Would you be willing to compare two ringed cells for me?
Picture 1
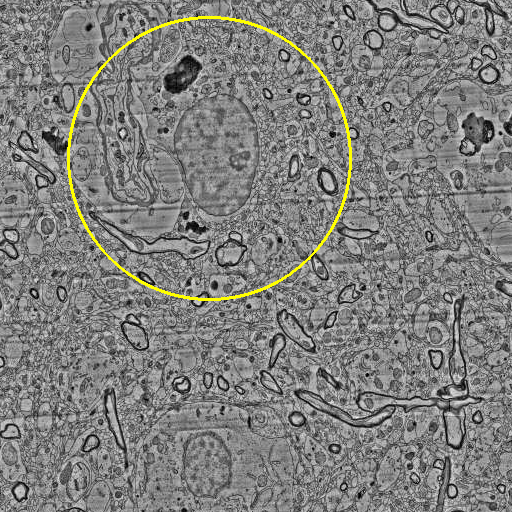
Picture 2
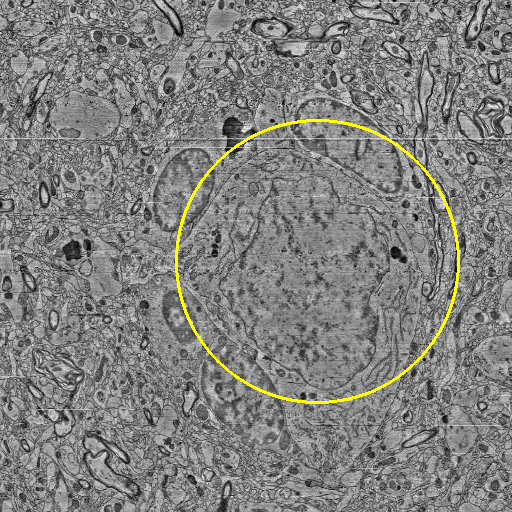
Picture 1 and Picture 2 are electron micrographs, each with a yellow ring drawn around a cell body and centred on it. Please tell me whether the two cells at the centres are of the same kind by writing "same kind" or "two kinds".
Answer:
two kinds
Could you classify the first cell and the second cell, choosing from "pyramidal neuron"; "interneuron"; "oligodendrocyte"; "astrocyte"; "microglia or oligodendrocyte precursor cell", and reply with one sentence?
The second cell is an interneuron, while the first is an oligodendrocyte.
